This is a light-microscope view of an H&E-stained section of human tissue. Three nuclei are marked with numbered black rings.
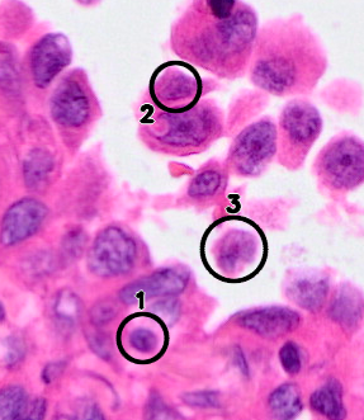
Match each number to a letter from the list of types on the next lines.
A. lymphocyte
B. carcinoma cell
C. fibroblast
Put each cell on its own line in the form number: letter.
1: A
2: B
3: B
